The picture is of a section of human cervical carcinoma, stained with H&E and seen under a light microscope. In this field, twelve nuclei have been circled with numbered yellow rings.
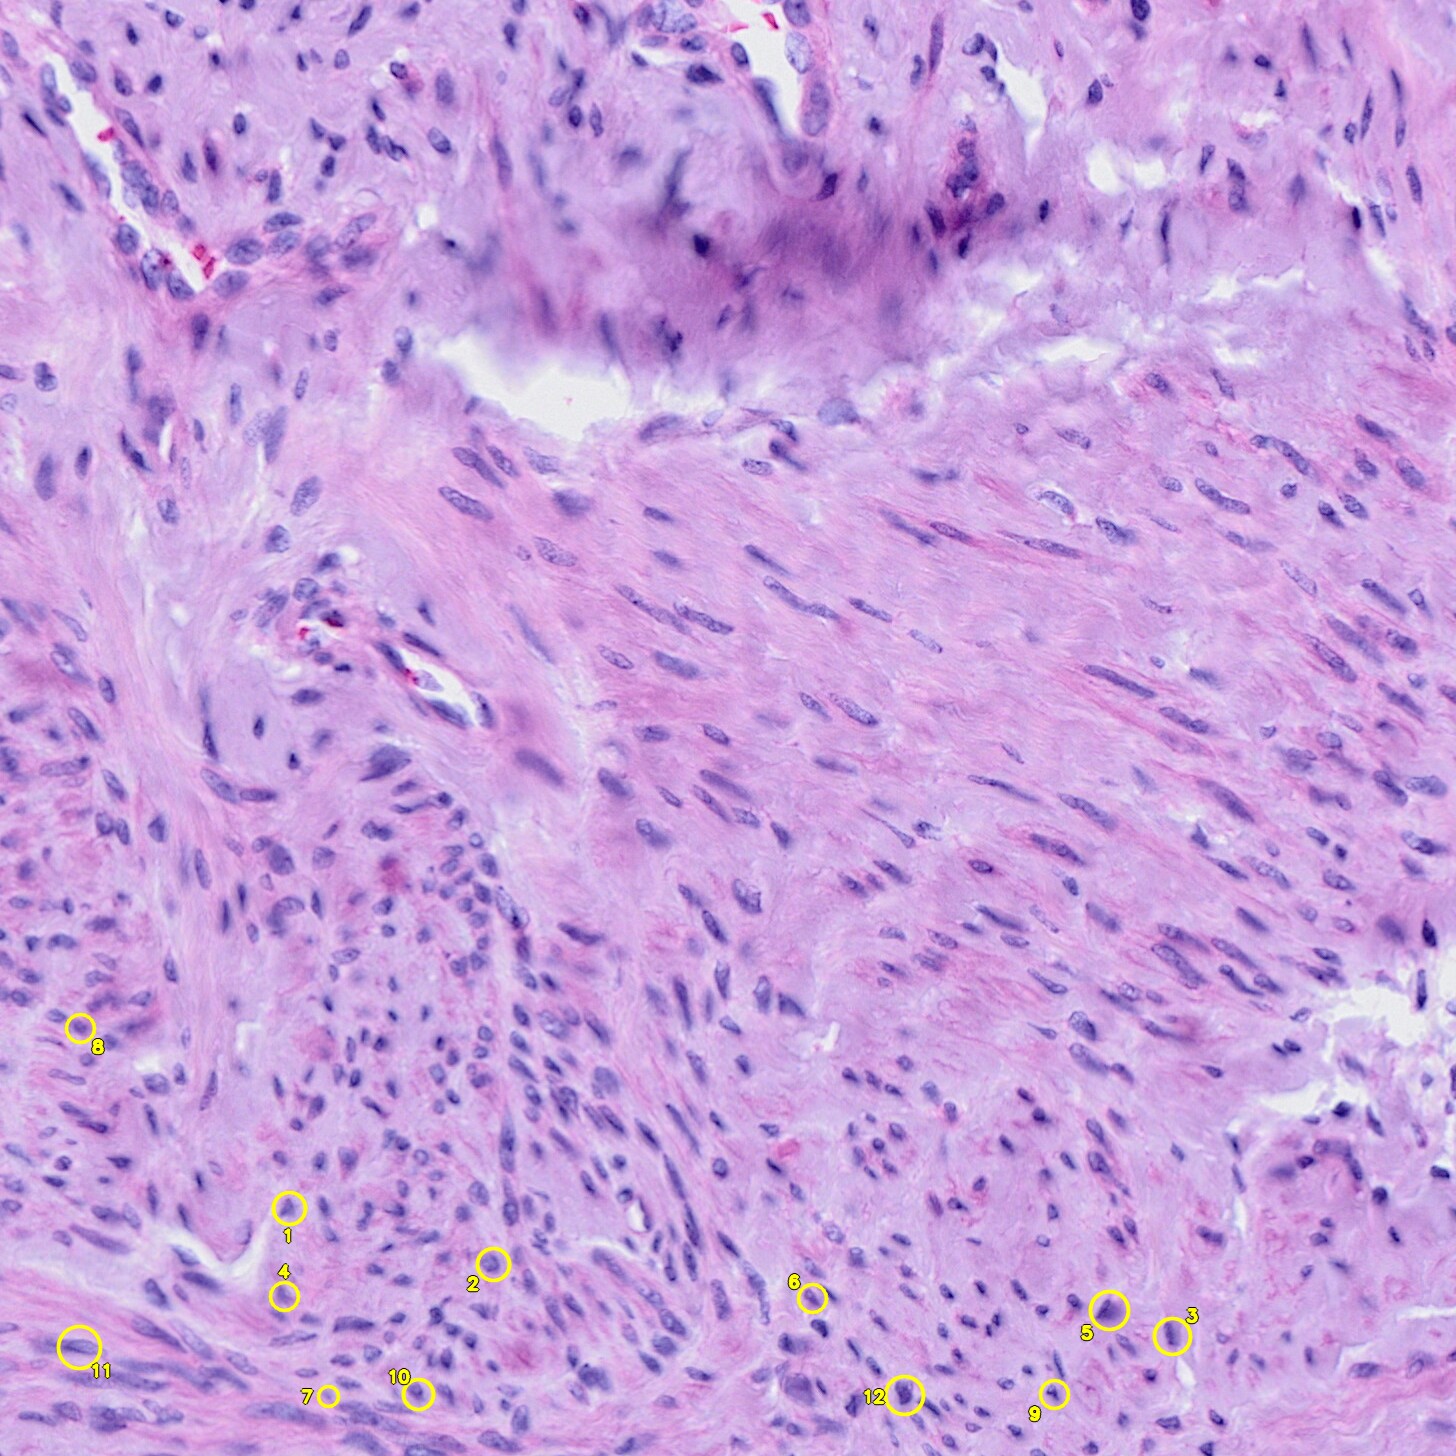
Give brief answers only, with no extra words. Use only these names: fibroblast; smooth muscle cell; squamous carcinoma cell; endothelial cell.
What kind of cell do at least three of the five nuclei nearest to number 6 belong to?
fibroblast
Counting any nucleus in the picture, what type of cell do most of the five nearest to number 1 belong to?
smooth muscle cell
